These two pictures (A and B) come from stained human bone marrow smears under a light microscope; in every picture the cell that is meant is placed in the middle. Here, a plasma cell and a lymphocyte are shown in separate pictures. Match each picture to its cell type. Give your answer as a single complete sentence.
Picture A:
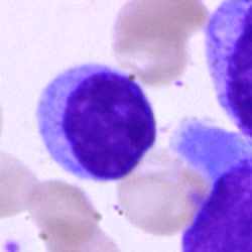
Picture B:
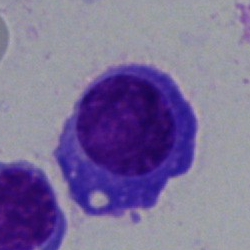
It is picture A that shows a lymphocyte, and picture B that shows a plasma cell.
